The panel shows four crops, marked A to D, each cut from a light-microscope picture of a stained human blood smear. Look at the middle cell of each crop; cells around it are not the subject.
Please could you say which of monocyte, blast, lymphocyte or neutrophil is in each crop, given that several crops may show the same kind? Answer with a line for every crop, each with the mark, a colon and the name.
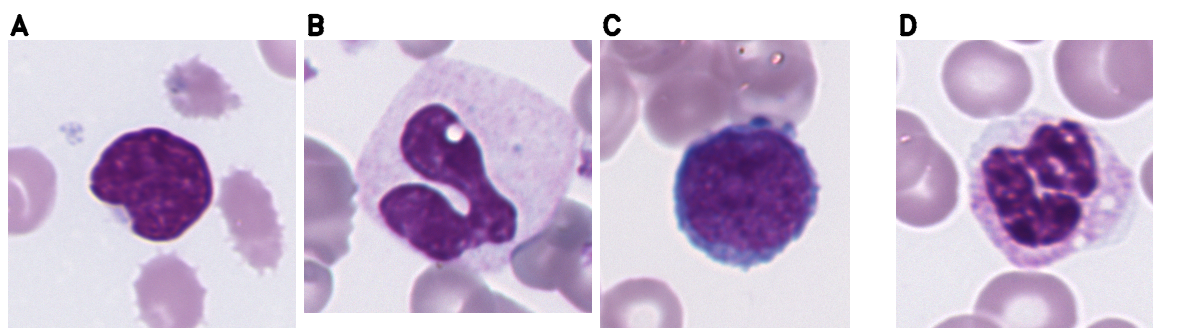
A: lymphocyte
B: neutrophil
C: blast
D: neutrophil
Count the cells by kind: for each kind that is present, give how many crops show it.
neutrophil: 2
lymphocyte: 1
blast: 1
